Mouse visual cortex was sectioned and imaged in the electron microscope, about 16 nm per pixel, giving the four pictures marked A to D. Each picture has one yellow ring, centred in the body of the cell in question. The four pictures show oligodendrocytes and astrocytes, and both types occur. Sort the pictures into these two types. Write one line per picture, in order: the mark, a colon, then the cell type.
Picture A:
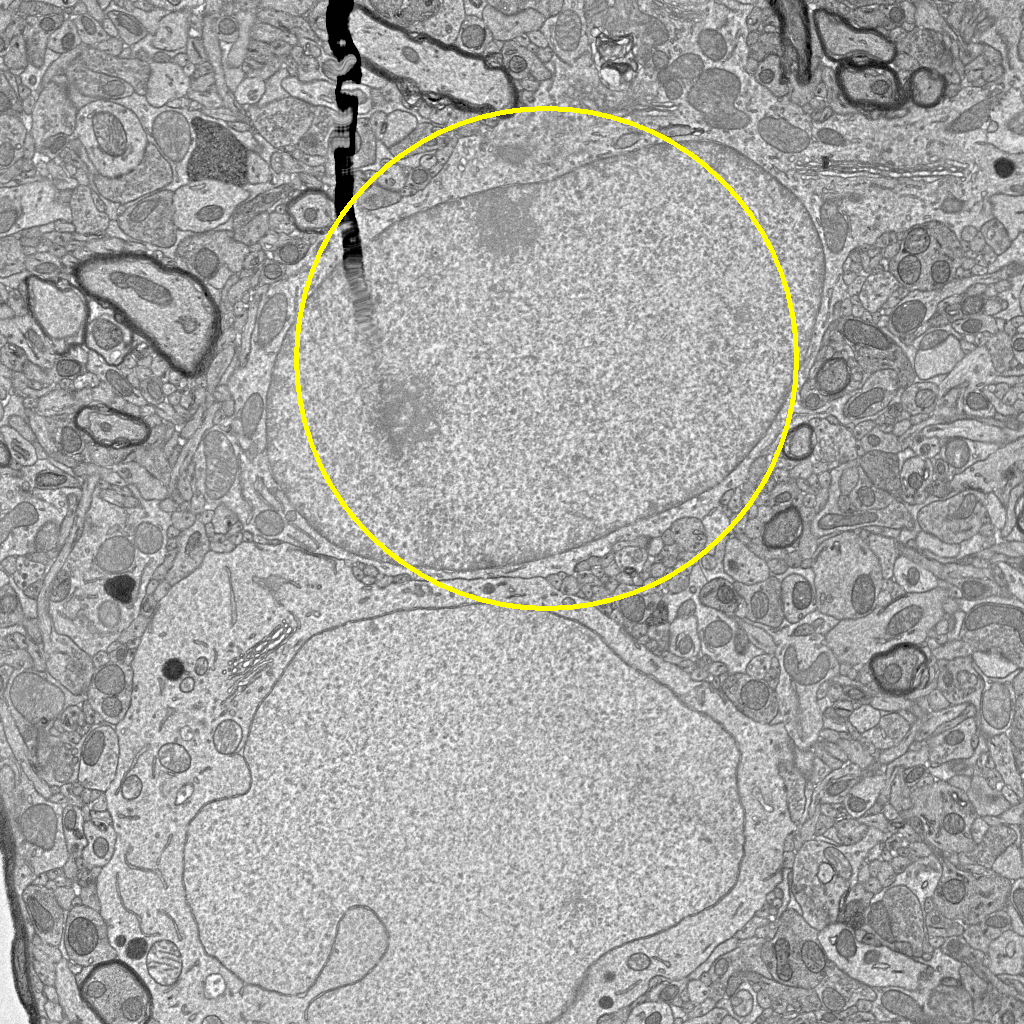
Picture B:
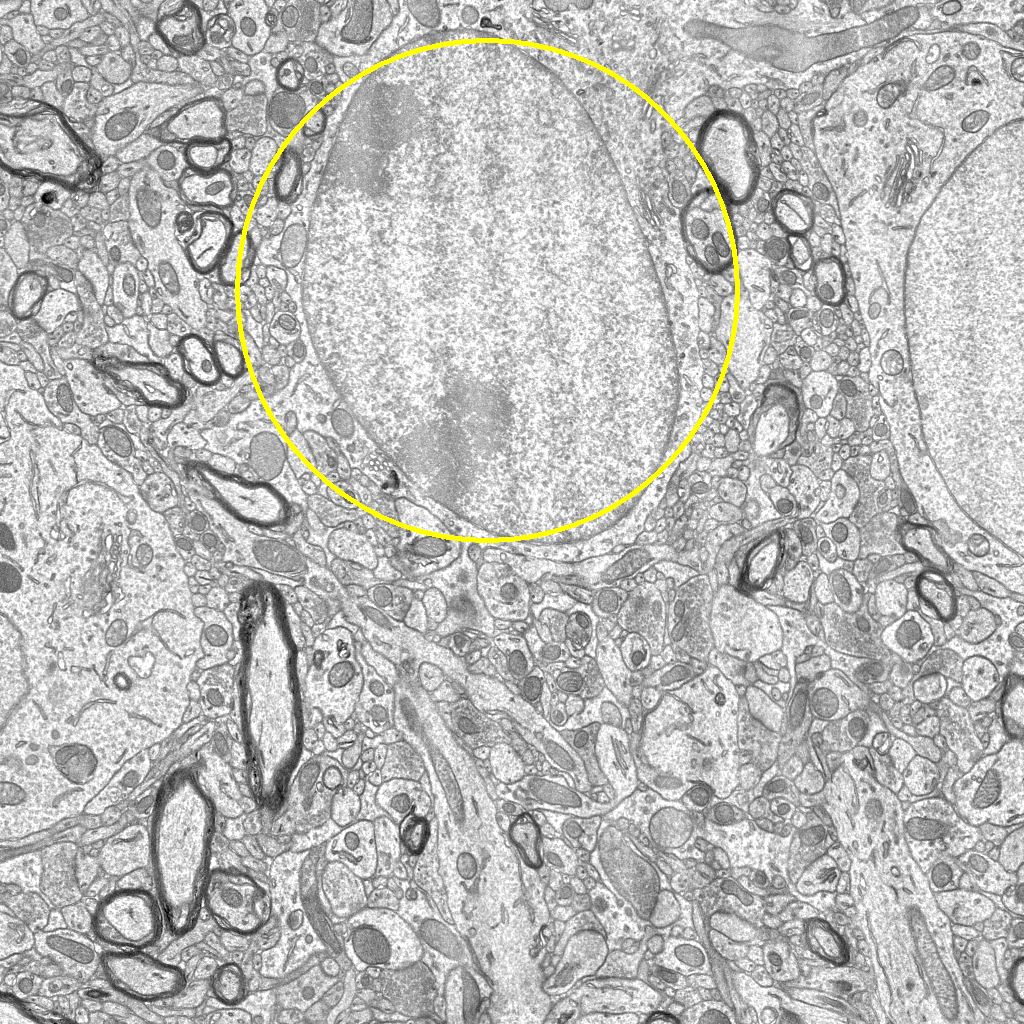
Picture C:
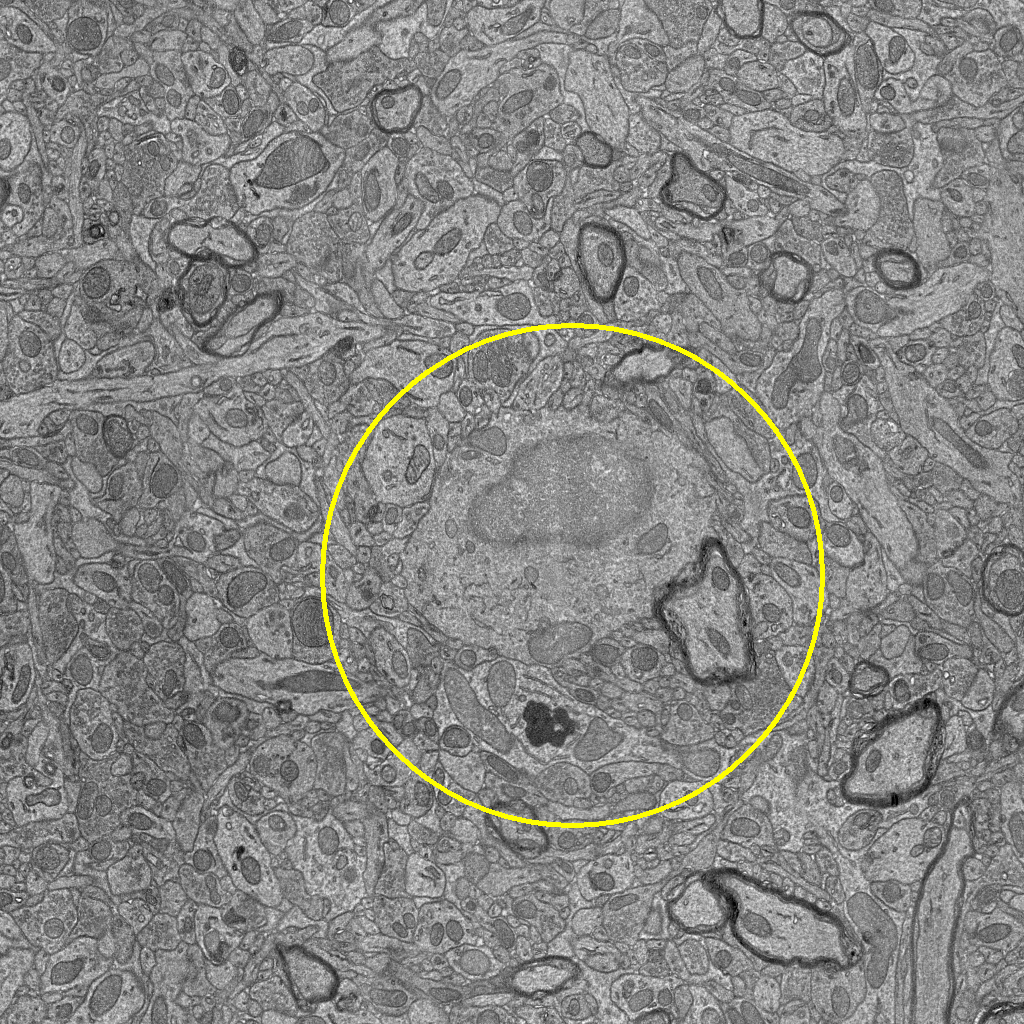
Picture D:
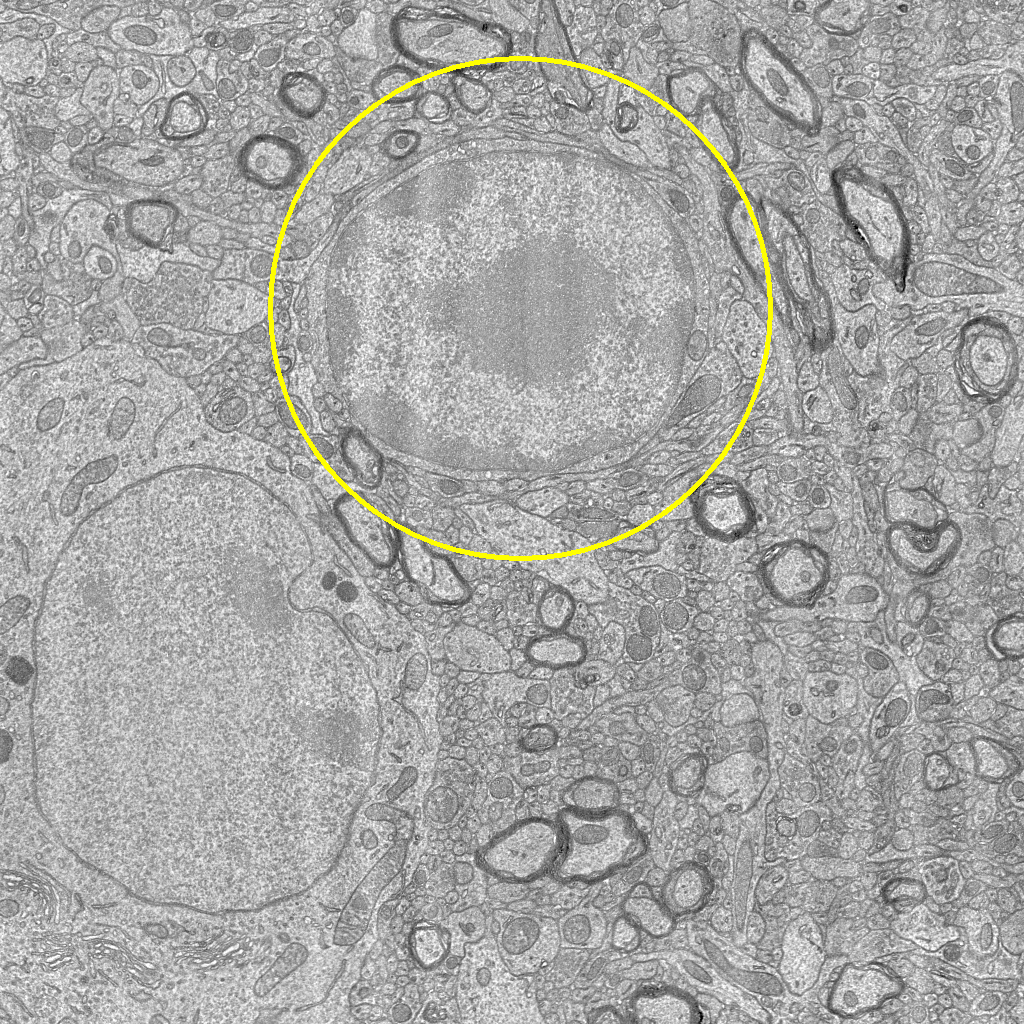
A: astrocyte
B: astrocyte
C: oligodendrocyte
D: oligodendrocyte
